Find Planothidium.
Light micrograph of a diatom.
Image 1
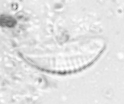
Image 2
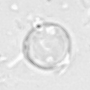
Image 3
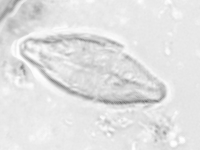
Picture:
3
